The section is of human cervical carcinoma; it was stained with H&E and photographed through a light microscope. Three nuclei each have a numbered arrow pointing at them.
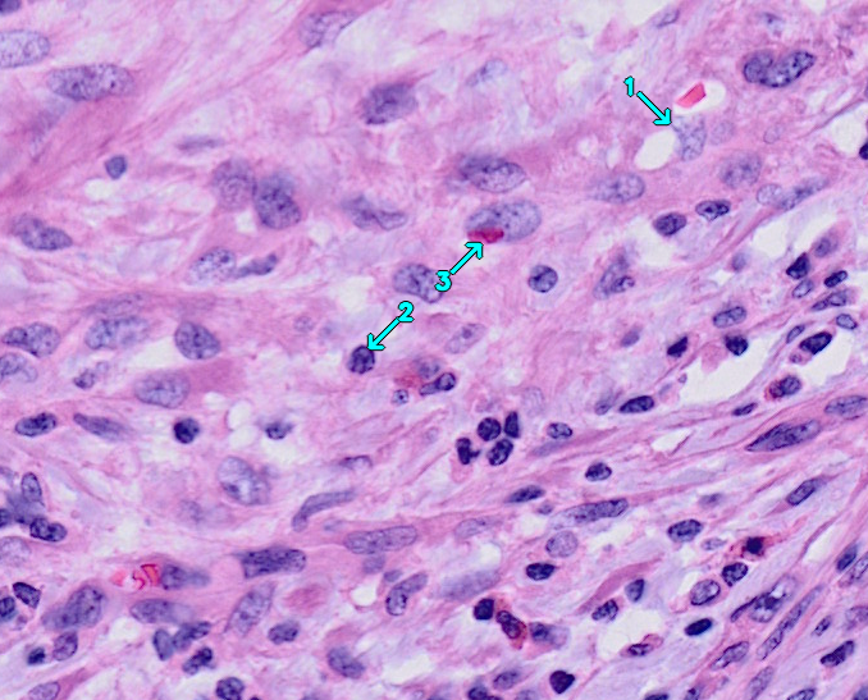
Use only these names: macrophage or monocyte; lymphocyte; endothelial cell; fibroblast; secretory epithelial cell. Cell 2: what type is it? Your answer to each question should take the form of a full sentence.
Cell 2, as marked in the section, is a lymphocyte.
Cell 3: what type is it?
Cell 3 is classified as an endothelial cell.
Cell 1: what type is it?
What the number 1 marks in this field is an endothelial cell.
